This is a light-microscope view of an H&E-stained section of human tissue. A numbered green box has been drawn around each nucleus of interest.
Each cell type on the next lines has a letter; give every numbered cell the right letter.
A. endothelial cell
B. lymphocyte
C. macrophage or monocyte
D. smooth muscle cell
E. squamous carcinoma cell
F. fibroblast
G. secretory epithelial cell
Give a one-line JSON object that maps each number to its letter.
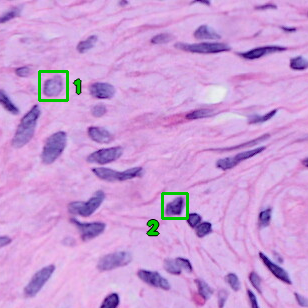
{"1": "D", "2": "F"}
